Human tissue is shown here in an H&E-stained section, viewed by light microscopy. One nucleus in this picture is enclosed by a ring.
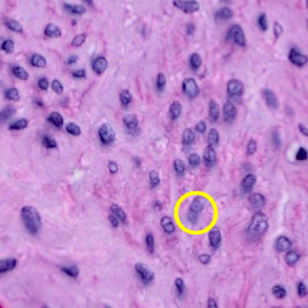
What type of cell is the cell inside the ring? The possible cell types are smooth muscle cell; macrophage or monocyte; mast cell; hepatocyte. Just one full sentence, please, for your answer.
The expected answer is simply that the cell inside the ring is a smooth muscle cell.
